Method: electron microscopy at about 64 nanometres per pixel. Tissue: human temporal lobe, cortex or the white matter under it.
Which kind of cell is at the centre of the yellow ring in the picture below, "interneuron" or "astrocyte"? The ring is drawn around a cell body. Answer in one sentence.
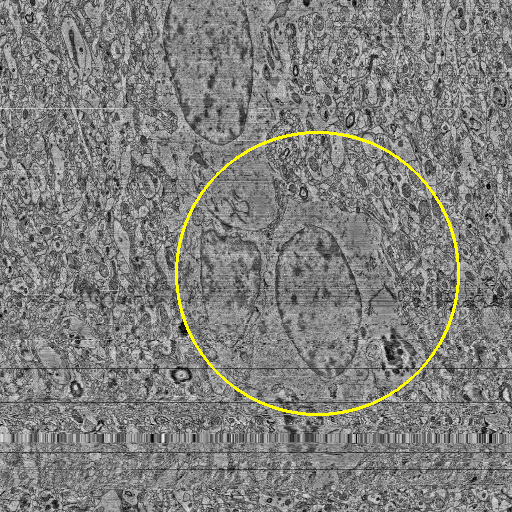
The ring's central cell is an astrocyte.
